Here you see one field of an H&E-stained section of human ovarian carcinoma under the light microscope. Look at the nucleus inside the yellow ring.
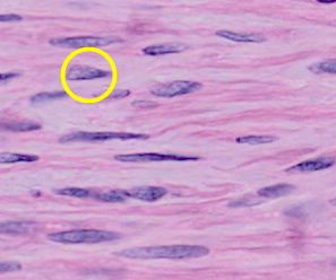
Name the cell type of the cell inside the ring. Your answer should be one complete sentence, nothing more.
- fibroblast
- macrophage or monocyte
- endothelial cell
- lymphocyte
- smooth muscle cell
For the purposes of cell typing, the cell inside the ring is categorized as a smooth muscle cell.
